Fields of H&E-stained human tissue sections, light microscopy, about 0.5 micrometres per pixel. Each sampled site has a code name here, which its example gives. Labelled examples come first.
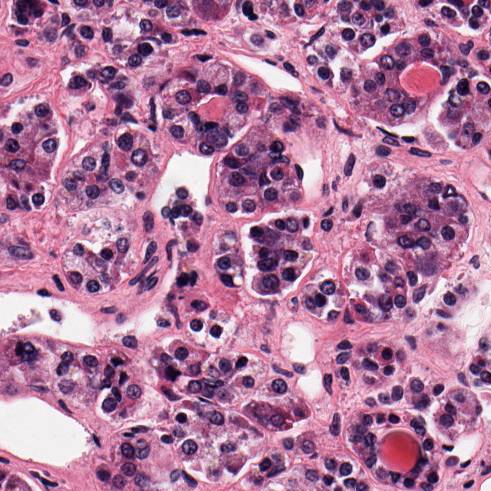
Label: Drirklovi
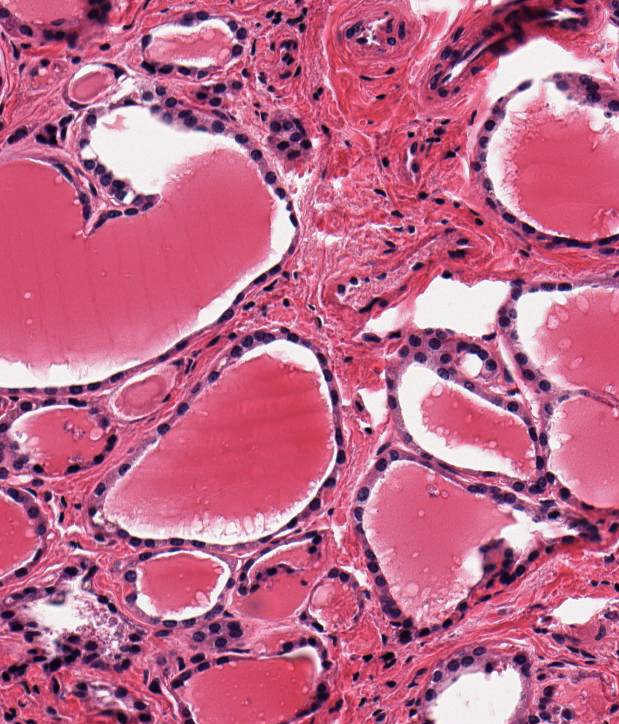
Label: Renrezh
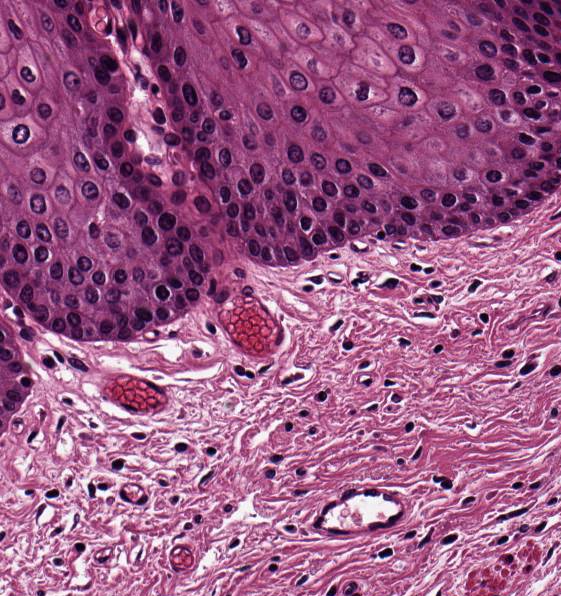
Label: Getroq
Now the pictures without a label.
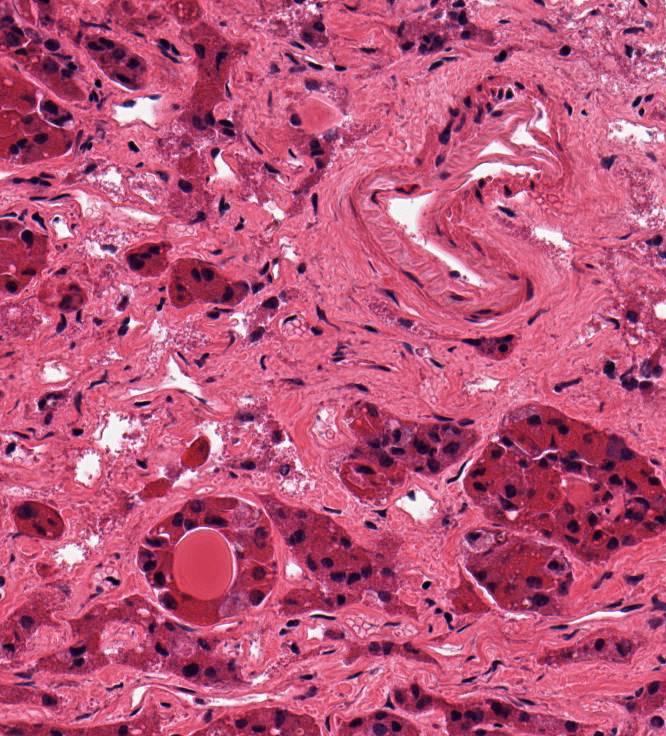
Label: Drirklovi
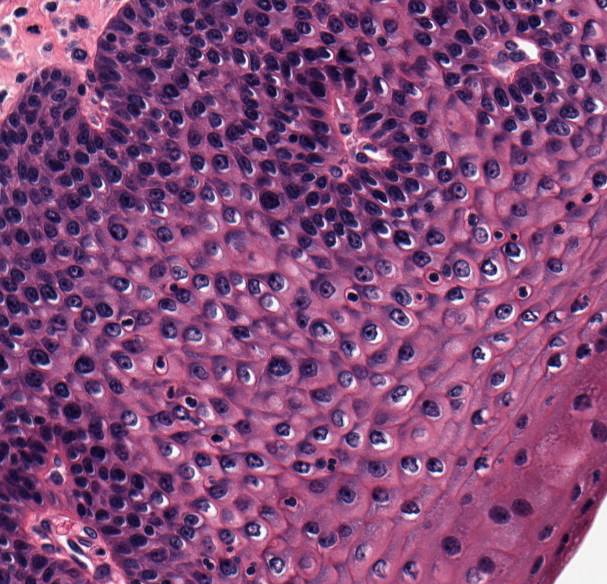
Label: Getroq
